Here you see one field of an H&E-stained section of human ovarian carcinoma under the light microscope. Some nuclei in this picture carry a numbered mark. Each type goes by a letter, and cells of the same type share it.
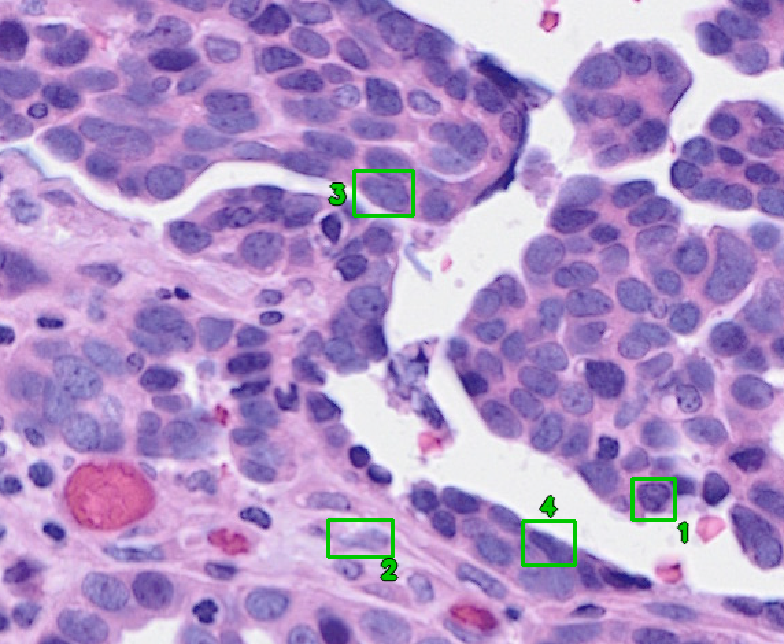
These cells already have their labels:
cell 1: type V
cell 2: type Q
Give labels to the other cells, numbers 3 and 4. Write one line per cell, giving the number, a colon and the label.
3: type V
4: type V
